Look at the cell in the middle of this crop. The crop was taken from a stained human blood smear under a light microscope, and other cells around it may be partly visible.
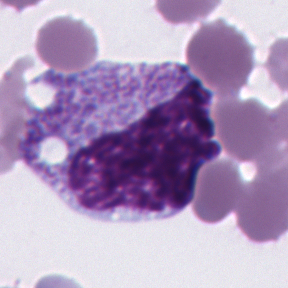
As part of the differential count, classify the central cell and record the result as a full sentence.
The crop's centre is taken up by a myelocyte.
